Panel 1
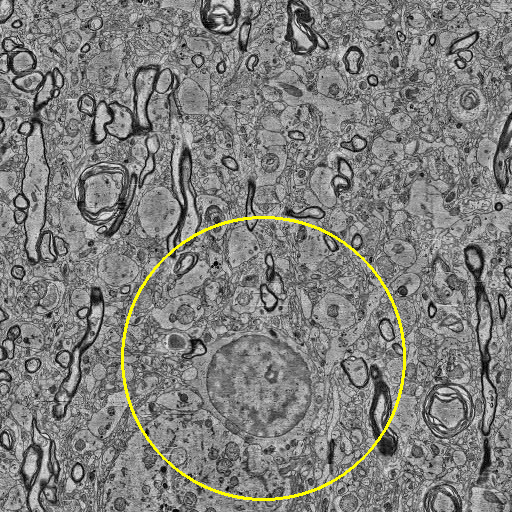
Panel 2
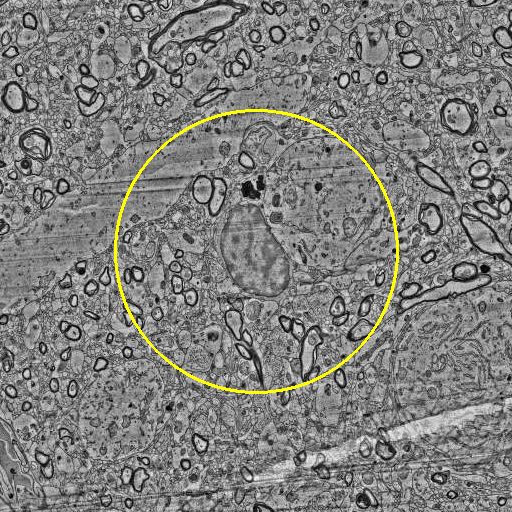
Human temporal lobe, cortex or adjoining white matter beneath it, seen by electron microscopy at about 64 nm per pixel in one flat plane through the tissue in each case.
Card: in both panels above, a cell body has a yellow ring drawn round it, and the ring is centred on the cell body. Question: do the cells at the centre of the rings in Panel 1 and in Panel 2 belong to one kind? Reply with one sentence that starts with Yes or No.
Yes, the cells centred in the rings of Panel 1 and Panel 2 are one kind of cell.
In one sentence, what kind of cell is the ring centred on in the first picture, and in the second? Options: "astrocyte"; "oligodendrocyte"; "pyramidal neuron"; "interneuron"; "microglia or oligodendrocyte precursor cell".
Each one of the two ringed cells is an oligodendrocyte.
